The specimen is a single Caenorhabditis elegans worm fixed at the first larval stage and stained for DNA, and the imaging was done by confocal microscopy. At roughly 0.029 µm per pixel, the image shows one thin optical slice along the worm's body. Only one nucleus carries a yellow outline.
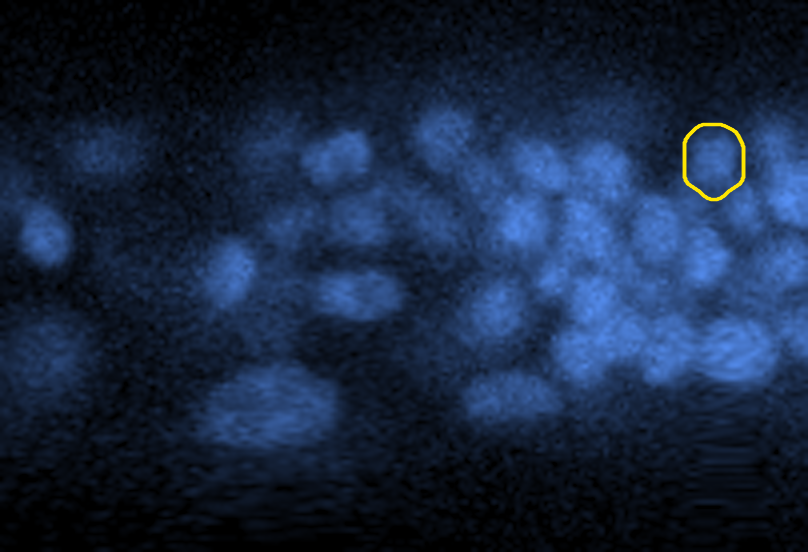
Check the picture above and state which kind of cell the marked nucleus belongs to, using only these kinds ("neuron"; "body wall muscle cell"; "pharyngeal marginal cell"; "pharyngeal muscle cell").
neuron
